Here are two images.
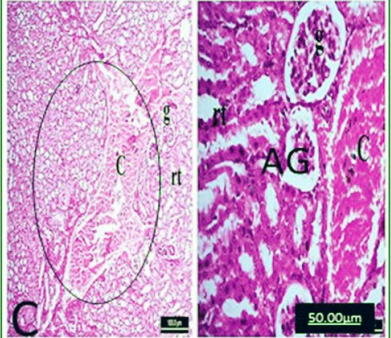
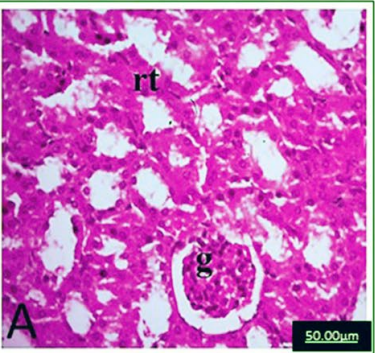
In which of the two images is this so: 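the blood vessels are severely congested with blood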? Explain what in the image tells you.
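Second image: no vessel filled with a pool of homogeneous red material between the tubules. First image: broad streaks of homogeneous deep-pink material fill vessels between the tubules.
The first image.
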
